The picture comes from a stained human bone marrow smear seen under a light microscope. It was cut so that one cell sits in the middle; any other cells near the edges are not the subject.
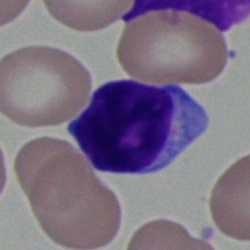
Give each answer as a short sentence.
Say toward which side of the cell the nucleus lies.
The nucleus is pushed toward the left of the cell.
